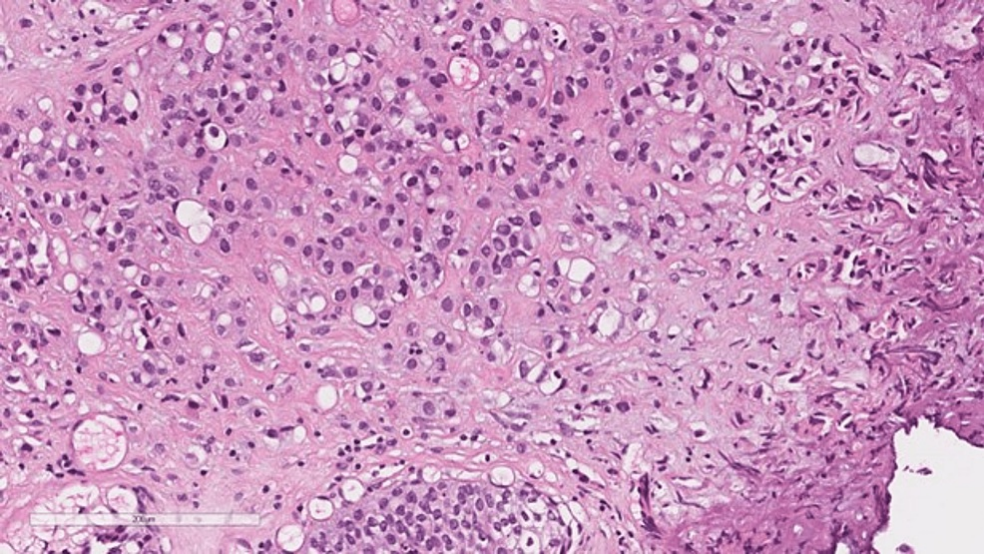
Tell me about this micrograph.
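Sheets and loose nests of infiltrating cells lie in a pale pink collagenous stroma. The cells are round to polygonal. Many cells contain clear, round vacuoles. Some vacuoles are small, others large enough to indent the nucleus, and some clusters look bubbly. Toward one side the cells are more spindled and sparser in denser pink stroma. A small dense cluster of small dark nuclei lies at the lower edge.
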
